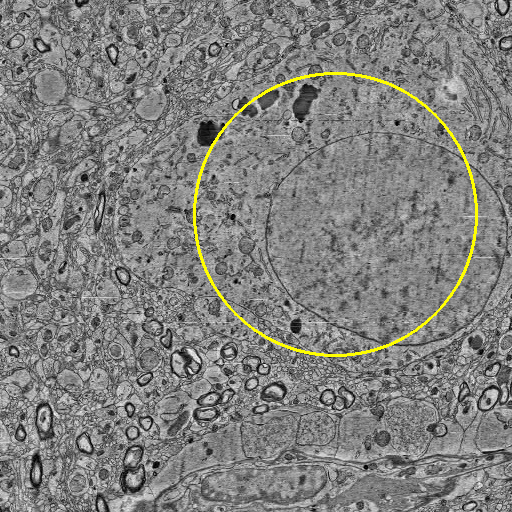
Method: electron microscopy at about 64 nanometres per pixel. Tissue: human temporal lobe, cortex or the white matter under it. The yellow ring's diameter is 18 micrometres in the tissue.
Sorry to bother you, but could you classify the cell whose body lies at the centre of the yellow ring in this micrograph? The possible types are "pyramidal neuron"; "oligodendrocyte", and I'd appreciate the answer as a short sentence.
The ringed cell body is that of a pyramidal neuron.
